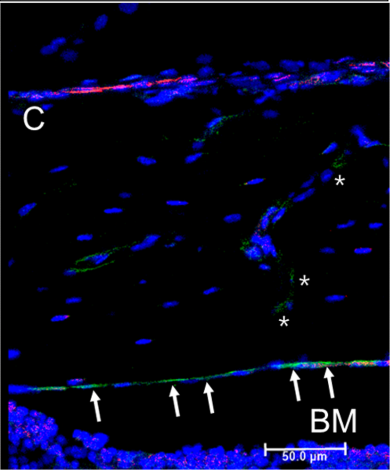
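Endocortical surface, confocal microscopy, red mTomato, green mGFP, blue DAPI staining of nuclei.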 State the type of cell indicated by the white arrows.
bone lining cell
